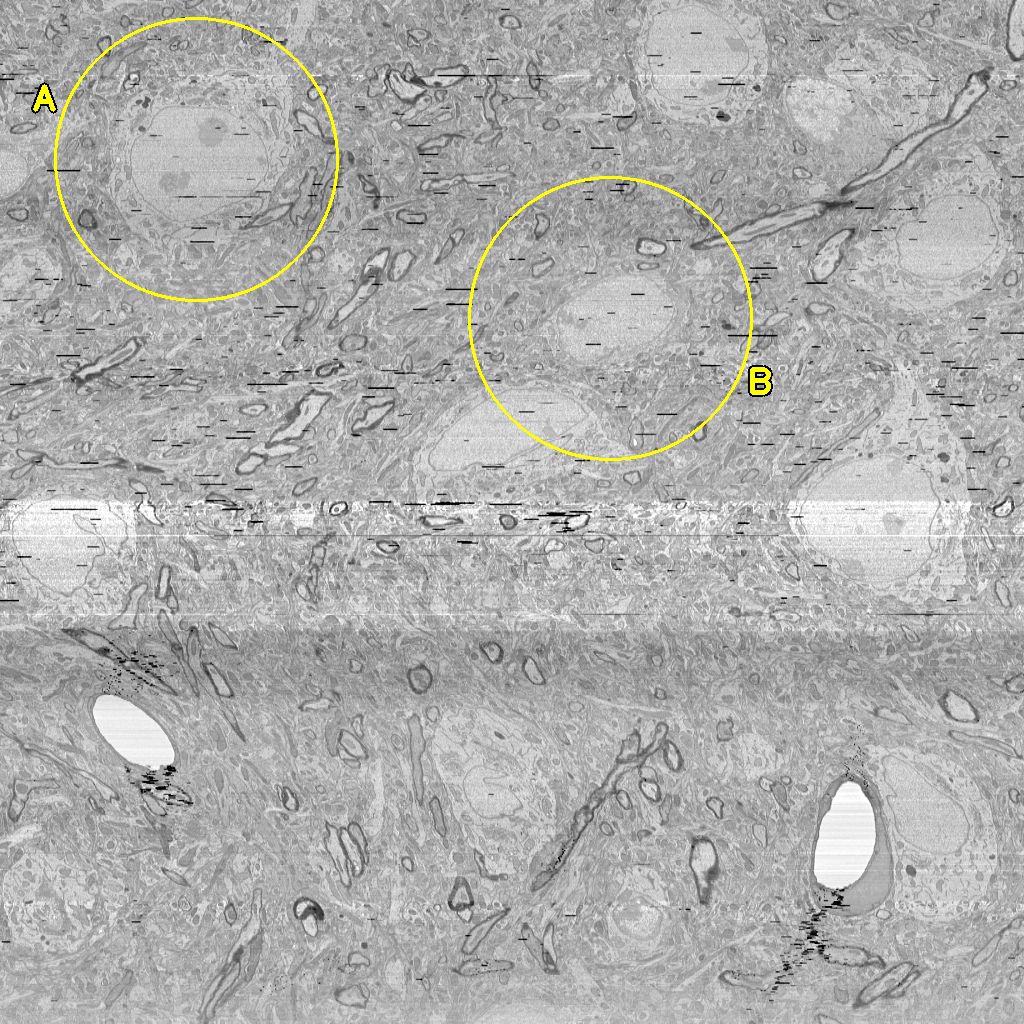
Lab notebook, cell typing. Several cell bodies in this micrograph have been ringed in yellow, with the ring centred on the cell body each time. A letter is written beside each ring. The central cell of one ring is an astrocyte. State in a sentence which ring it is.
It is ring B.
